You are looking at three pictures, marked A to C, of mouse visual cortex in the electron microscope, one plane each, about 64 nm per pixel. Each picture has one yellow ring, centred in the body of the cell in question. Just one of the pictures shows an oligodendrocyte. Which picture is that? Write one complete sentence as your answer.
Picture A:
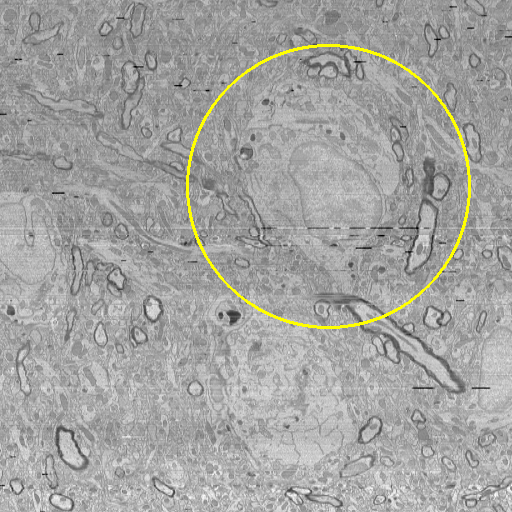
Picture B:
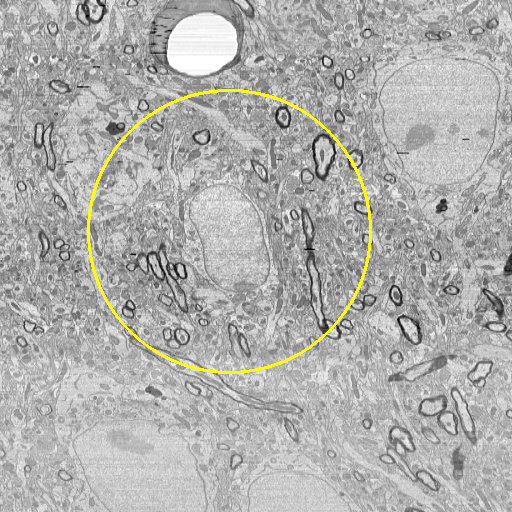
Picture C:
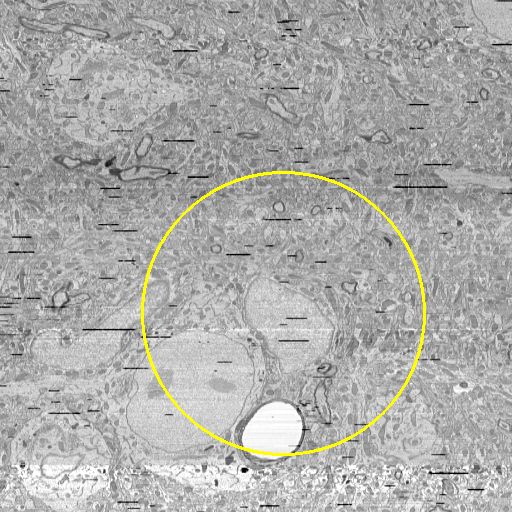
The cell in picture A is the oligodendrocyte.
